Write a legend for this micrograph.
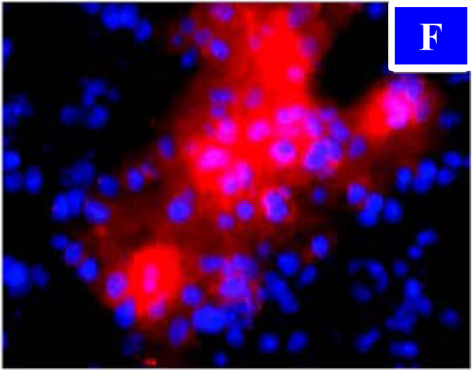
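The red area extends from the lower left to the upper right of the field and encloses many blue nuclei. Several brighter red foci stand out within it, including one at the lower left and one at the upper right. Outside the red area, the nuclei are more loosely spaced, with dark gaps between them. The nuclei are small and round to oval.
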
